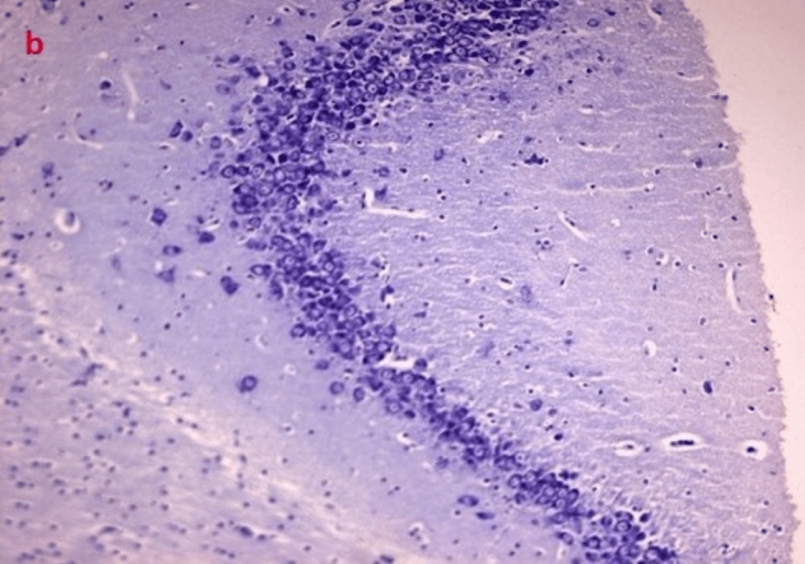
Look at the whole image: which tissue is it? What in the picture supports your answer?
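A curved band of densely packed, darkly stained cell bodies runs across the field. Paler layers with few scattered cells lie on both sides of the band.
Conclusion: hippocampus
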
